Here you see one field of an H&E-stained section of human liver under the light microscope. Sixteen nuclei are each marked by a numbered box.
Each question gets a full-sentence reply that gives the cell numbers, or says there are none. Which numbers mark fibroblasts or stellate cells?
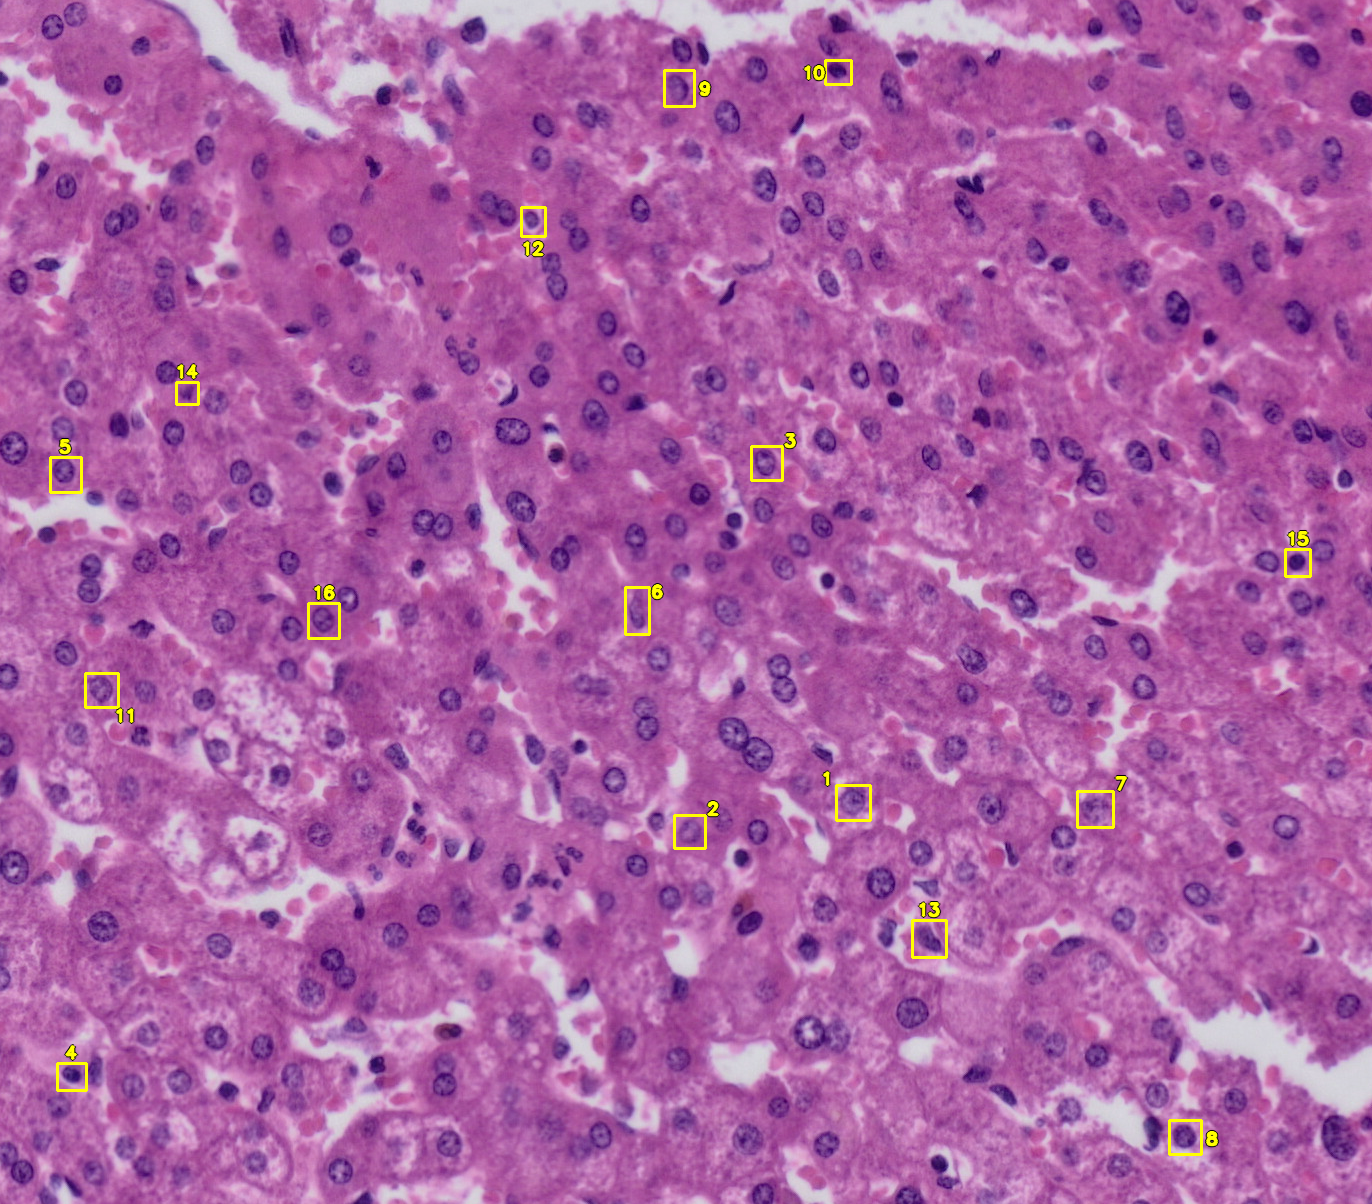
Within the section, cells numbered 10 and 14 are fibroblasts or stellate cells.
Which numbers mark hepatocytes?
The cells marked with the numbers 1, 2, 3, 5, 7, 8, 9, 11 and 16 are hepatocytes.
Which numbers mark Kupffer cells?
Here, the cells that carry numbers 6 and 13 are Kupffer cells.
